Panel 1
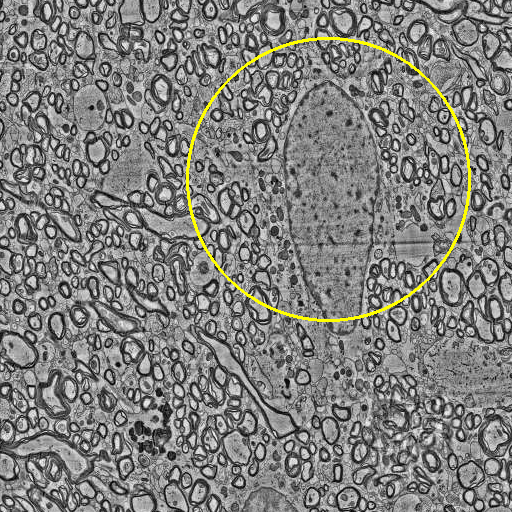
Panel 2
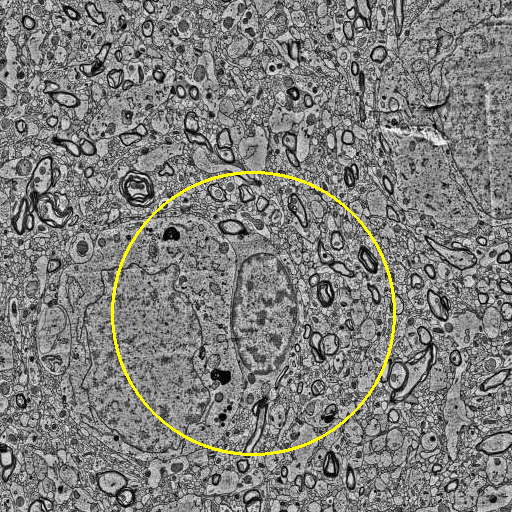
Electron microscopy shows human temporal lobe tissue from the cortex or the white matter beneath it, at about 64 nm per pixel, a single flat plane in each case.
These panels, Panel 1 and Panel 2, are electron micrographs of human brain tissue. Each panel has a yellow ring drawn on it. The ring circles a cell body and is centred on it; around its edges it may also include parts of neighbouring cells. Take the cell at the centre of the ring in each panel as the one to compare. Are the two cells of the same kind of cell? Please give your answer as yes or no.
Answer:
no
